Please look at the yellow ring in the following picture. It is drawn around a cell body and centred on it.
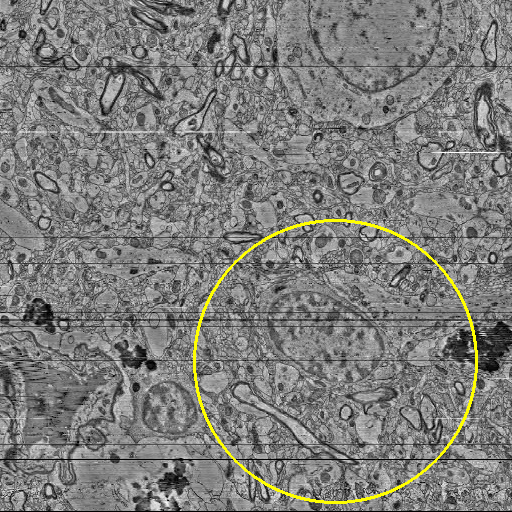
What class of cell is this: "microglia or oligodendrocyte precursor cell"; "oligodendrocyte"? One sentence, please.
The ring surrounds the cell body of an oligodendrocyte.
